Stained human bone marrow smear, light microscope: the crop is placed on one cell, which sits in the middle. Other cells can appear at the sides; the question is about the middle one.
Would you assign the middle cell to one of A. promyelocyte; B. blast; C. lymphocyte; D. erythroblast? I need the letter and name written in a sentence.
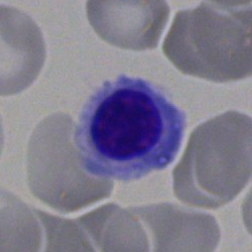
Well, the cell in the middle is an erythroblast, making option D right.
